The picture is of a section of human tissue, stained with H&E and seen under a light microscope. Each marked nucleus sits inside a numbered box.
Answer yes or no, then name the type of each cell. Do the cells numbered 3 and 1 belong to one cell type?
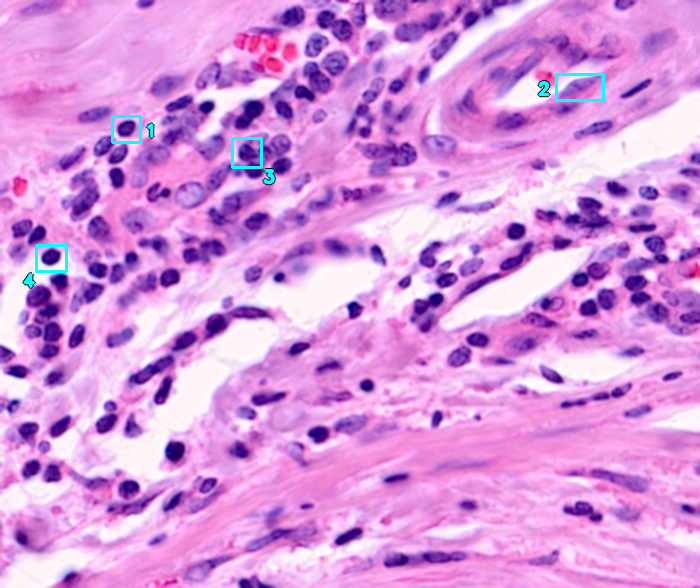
Yes, both are lymphocytes.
